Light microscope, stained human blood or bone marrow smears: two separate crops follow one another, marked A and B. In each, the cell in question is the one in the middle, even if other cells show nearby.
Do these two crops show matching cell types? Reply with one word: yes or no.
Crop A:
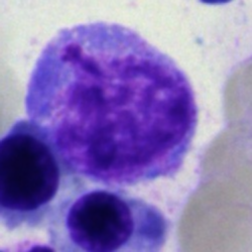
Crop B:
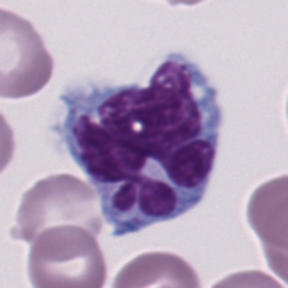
yes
